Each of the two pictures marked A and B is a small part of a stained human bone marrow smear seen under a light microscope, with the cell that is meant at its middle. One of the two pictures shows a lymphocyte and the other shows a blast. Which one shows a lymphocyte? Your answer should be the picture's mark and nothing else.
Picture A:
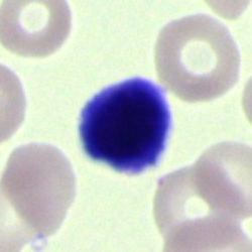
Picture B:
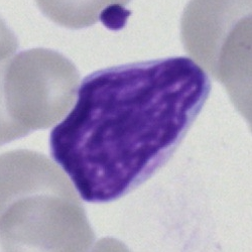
A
